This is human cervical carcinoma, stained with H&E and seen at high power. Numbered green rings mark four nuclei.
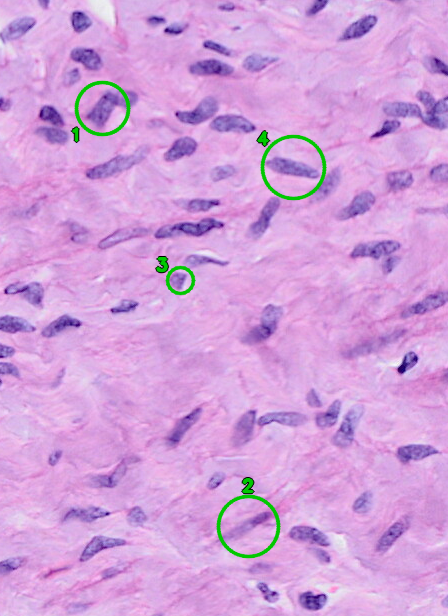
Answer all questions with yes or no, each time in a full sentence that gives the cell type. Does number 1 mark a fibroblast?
Yes, the cell that the number 1 labels is a fibroblast.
